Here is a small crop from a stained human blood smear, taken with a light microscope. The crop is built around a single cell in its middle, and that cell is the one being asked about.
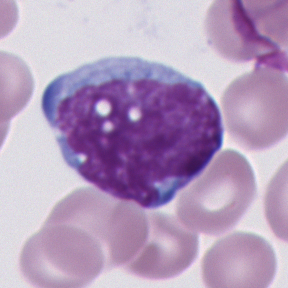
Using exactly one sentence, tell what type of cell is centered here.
On this slide crop, the central cell is a monocyte.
